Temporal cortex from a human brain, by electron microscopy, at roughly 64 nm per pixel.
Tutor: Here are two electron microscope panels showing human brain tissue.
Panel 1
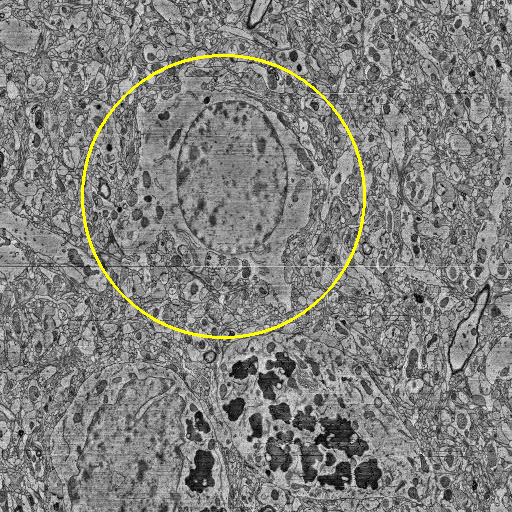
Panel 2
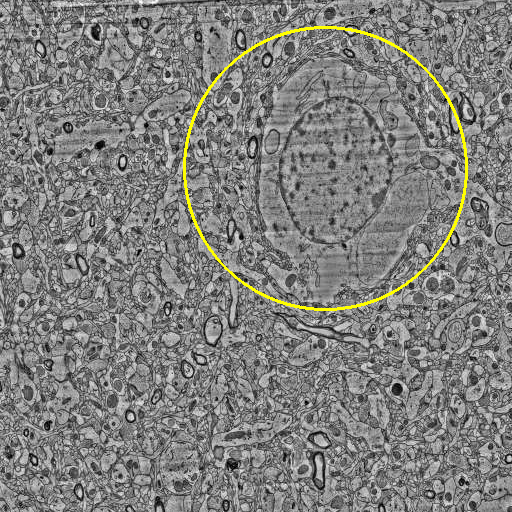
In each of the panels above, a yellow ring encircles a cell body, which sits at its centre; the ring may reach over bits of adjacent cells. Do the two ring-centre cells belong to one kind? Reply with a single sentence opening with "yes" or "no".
Yes, the two cells sitting at the ring centres in the panels belong to one kind.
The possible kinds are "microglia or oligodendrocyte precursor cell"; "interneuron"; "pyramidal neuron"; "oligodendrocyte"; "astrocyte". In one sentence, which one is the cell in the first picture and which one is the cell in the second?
Each of the two rings surrounds an astrocyte.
